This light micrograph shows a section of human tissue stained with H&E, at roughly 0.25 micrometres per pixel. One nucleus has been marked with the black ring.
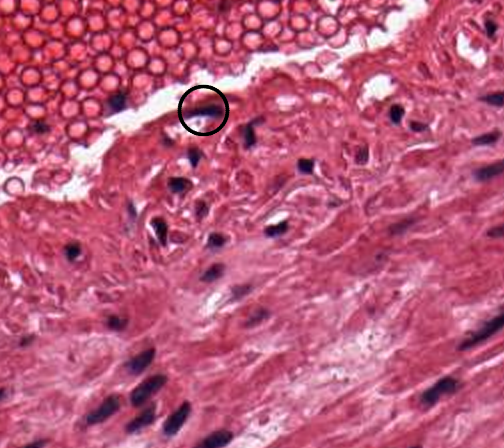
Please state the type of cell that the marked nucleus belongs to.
endothelial cell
